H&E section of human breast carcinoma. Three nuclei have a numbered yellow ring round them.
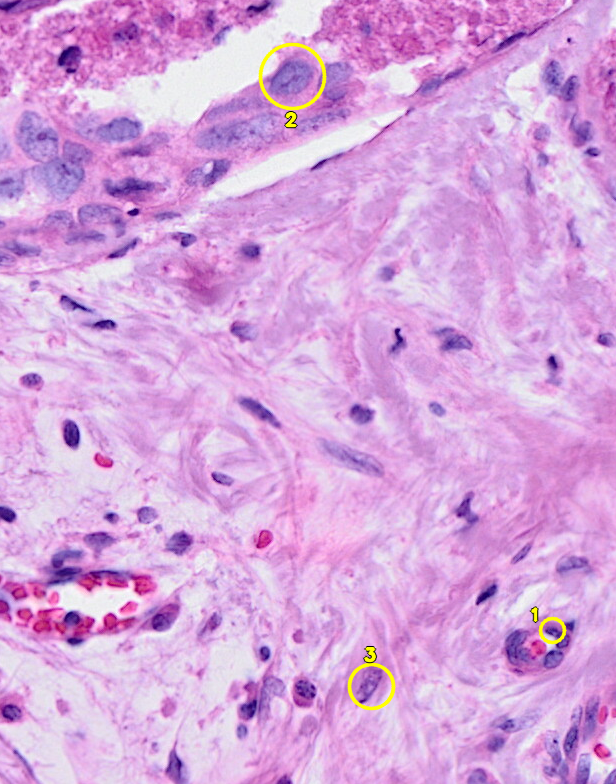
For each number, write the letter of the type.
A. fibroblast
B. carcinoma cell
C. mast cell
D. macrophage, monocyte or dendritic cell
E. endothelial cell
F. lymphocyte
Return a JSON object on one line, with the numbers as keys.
{"1": "E", "2": "B", "3": "A"}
